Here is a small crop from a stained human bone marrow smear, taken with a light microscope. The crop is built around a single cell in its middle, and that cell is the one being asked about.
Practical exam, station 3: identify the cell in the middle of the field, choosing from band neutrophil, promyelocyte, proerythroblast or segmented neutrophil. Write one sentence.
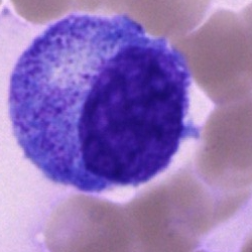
The identification for the central cell is a promyelocyte.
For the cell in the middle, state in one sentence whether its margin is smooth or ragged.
The boundary of the cell runs irregularly, ragged in parts or drawn into projections.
